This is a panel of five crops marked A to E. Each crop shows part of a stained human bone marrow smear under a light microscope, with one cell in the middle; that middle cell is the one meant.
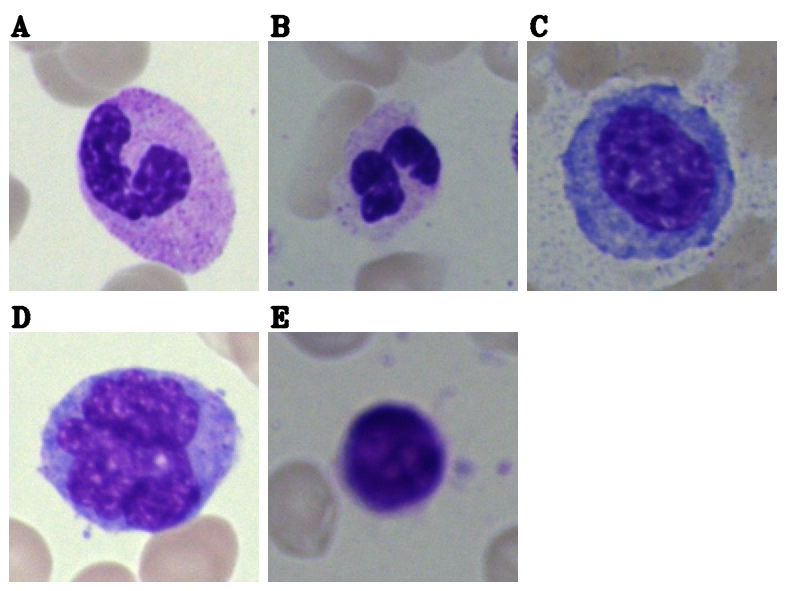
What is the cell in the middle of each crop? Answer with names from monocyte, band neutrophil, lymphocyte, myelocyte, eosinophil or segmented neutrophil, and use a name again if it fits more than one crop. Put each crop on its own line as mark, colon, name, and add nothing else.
A: segmented neutrophil
B: segmented neutrophil
C: myelocyte
D: monocyte
E: lymphocyte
